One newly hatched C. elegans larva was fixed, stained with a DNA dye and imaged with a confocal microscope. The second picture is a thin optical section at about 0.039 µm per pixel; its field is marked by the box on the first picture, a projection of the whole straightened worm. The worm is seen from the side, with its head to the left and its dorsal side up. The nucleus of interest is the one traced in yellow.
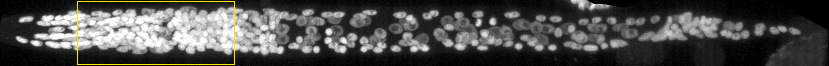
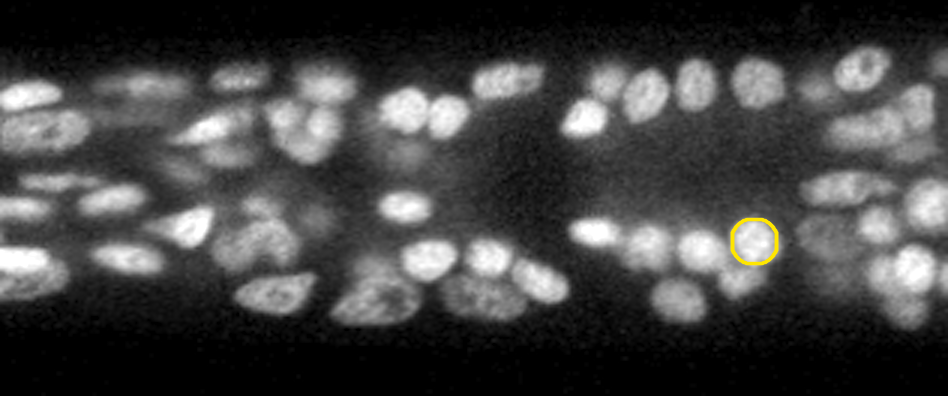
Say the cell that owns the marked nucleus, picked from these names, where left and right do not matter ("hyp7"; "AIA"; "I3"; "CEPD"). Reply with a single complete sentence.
This is the nucleus of AIA, a neuron.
